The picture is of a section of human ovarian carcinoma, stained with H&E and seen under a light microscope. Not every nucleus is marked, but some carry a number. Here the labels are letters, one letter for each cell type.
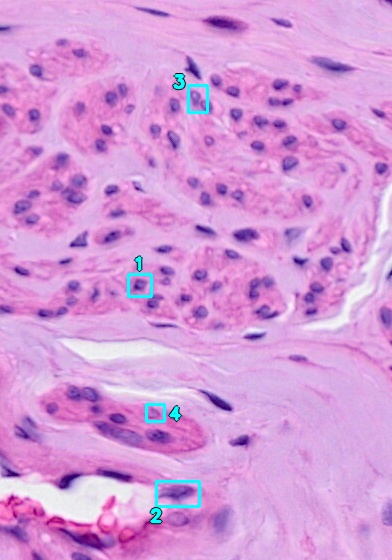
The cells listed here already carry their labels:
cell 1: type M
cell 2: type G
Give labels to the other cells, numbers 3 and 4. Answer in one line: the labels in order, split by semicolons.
type M; type M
